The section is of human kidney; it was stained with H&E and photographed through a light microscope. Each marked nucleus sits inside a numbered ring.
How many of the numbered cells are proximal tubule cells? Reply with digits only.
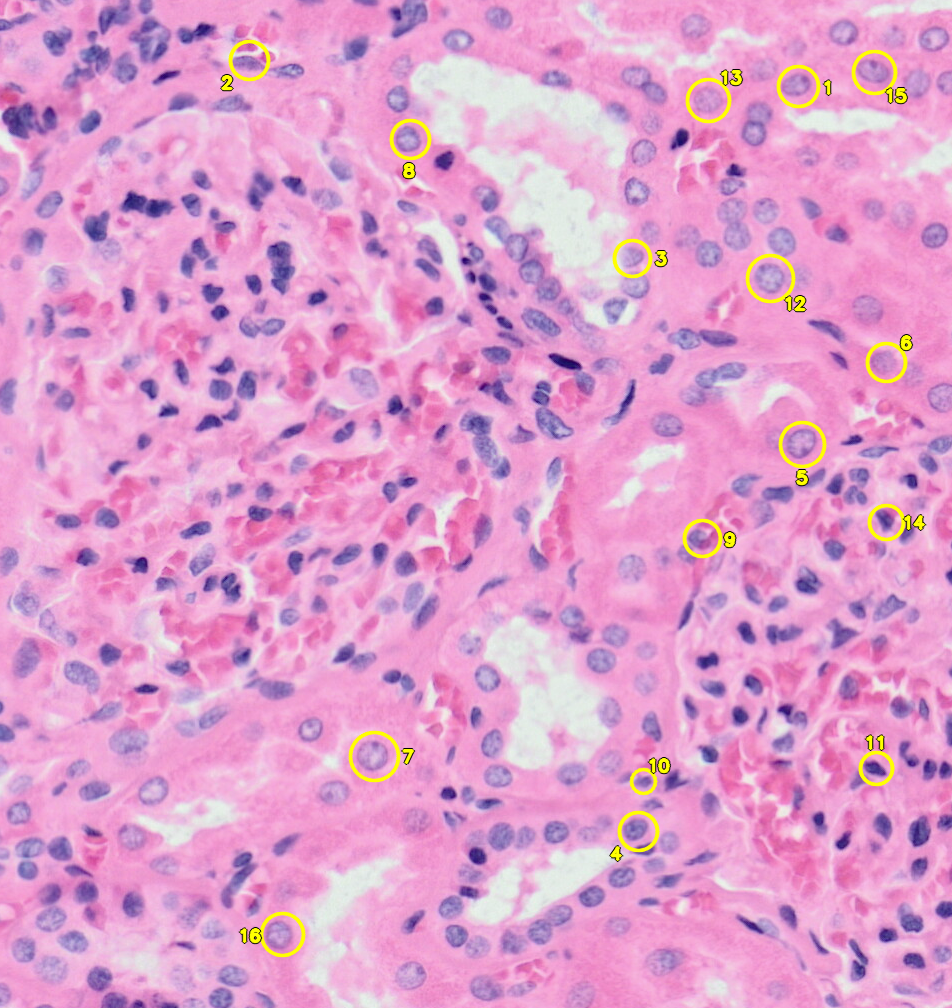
7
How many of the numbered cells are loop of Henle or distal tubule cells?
3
